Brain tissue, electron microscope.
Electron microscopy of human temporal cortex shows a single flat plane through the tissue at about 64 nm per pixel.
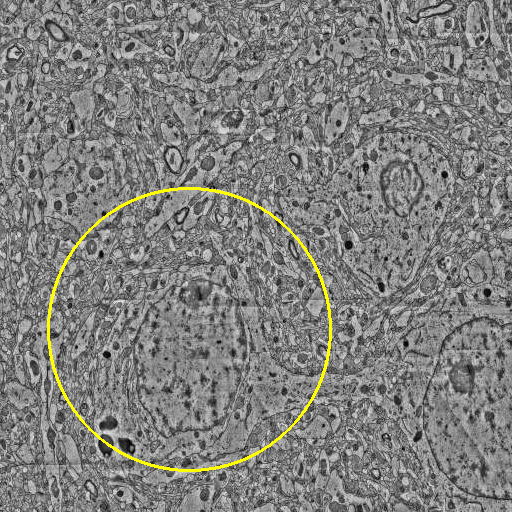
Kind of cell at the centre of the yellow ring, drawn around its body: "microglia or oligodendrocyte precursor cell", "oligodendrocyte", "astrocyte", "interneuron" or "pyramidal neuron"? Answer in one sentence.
The ring's centre falls on an interneuron.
